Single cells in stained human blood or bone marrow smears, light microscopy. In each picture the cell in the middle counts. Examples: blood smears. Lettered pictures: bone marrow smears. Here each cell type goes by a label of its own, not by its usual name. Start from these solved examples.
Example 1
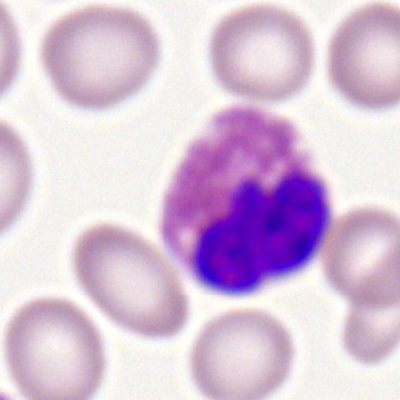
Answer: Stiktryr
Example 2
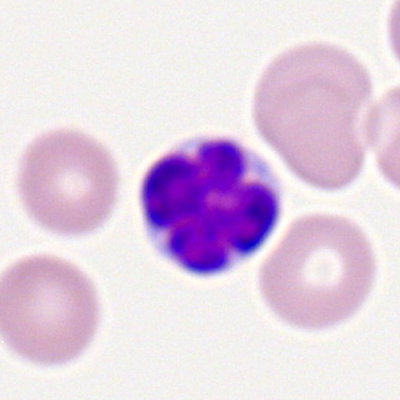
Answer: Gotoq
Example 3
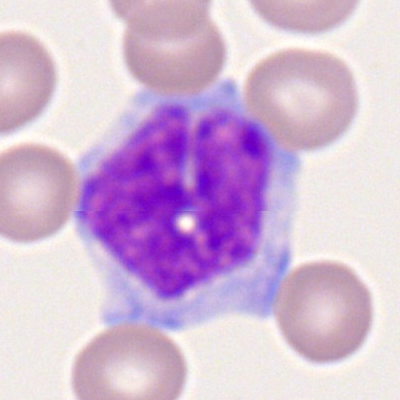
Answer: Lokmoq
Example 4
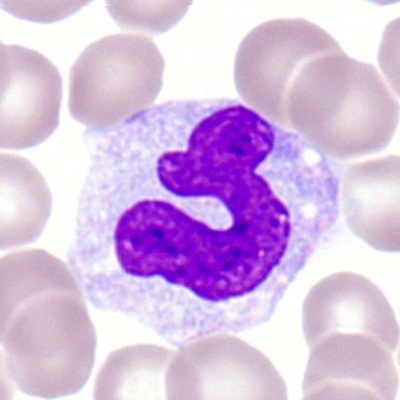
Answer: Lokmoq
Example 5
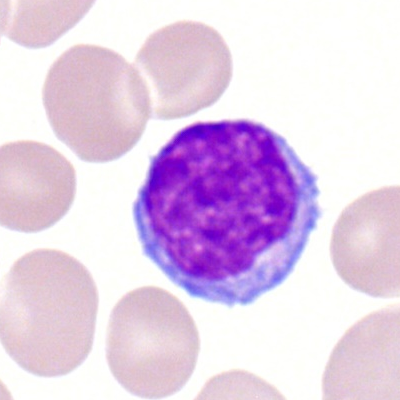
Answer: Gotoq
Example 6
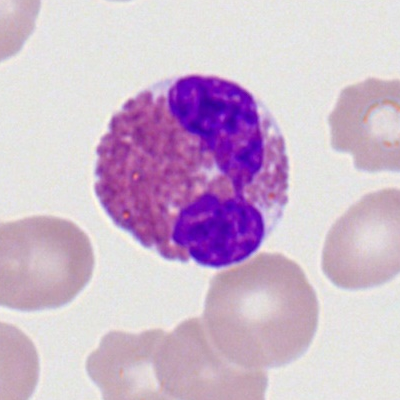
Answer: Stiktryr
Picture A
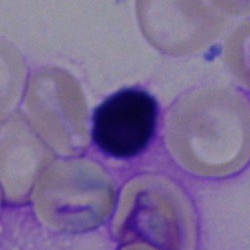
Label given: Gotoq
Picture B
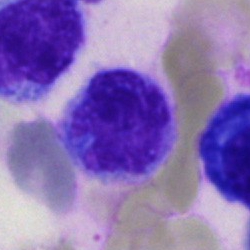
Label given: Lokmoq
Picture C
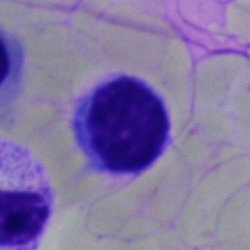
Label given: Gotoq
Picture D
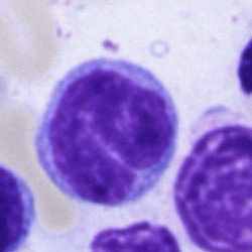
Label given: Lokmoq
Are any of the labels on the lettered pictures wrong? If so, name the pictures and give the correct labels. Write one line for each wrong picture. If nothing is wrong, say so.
Nothing to fix; every label fits.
